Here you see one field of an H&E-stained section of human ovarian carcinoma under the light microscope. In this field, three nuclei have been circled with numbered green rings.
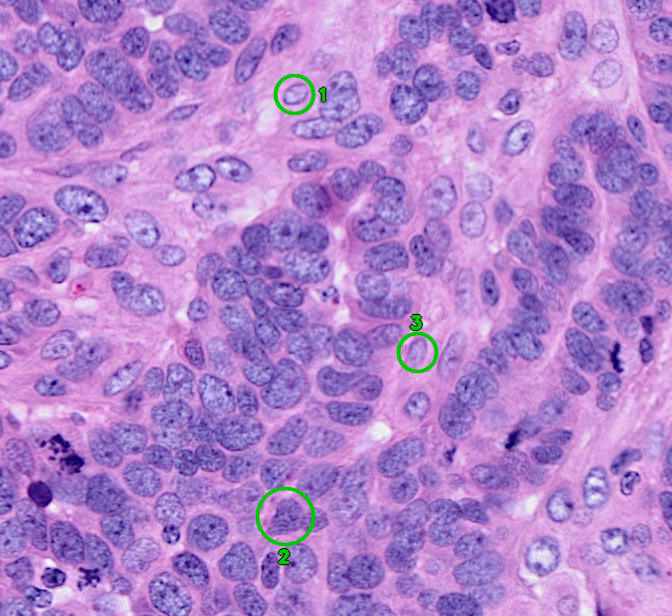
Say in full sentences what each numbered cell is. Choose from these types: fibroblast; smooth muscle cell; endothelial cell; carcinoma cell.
Cell 1 is a fibroblast, cell 2 is a carcinoma cell and cell 3 is a fibroblast.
